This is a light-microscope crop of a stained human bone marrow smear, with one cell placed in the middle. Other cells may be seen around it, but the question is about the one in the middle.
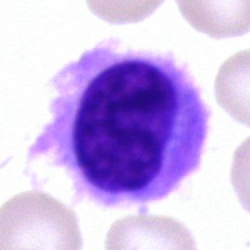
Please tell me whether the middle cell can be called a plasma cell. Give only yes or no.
no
